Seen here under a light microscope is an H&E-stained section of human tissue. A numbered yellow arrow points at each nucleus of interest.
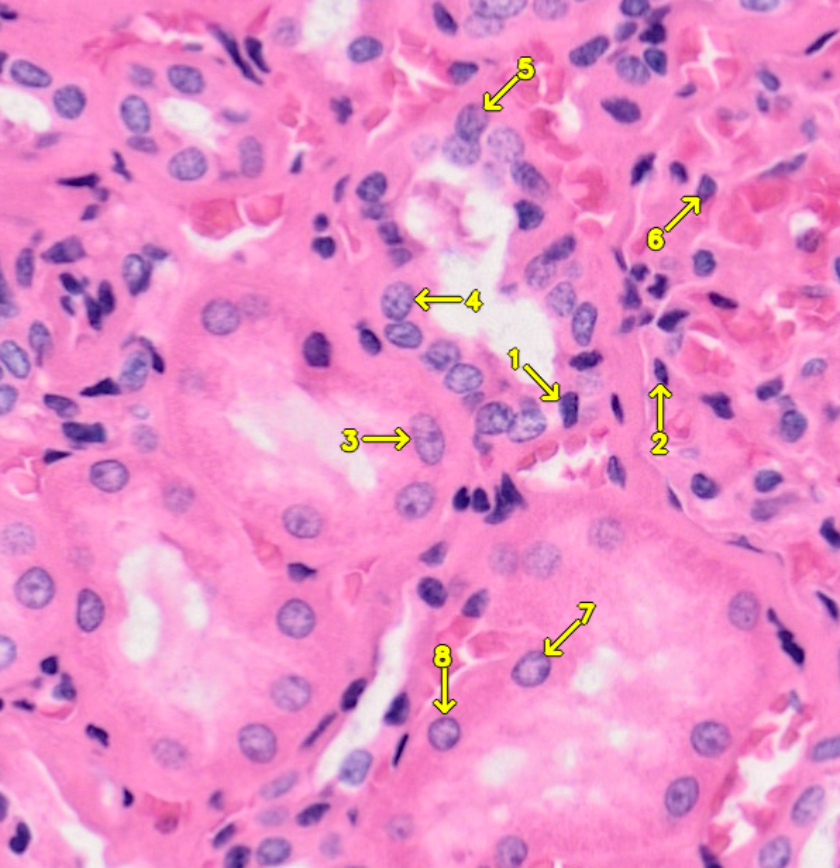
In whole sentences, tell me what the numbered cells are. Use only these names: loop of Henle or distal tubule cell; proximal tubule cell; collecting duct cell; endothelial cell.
Cell 1 is a collecting duct cell, cell 2 is an endothelial cell, cell 3 is a proximal tubule cell, cell 4 is a collecting duct cell, cell 5 is a collecting duct cell, cell 6 is an endothelial cell, cell 7 is a proximal tubule cell and cell 8 is a proximal tubule cell.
